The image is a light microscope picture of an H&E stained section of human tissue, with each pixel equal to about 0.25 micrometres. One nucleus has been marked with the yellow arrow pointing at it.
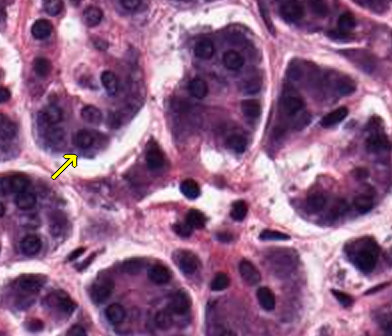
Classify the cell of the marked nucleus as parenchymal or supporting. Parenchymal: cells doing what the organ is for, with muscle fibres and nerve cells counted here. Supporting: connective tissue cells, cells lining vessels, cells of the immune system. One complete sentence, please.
On this slide the marked nucleus belongs to a parenchymal cell, namely a pancreatic acinar cell.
